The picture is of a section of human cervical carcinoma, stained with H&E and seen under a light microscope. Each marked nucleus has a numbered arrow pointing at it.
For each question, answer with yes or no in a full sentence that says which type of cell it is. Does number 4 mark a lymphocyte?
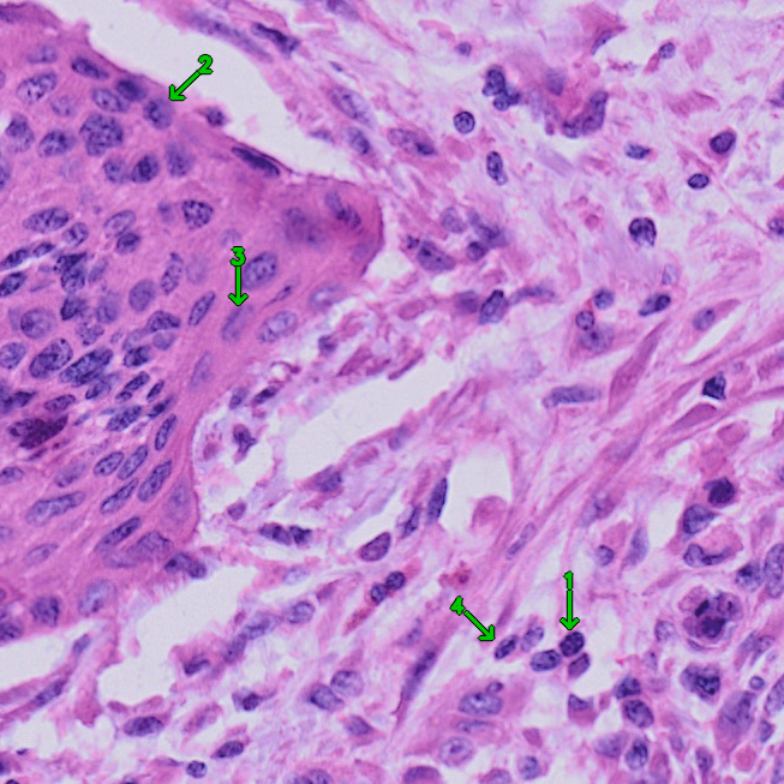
Yes, cell number 4 is identified here as a lymphocyte.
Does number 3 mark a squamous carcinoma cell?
Yes, the marked cell number 3 is a squamous carcinoma cell.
